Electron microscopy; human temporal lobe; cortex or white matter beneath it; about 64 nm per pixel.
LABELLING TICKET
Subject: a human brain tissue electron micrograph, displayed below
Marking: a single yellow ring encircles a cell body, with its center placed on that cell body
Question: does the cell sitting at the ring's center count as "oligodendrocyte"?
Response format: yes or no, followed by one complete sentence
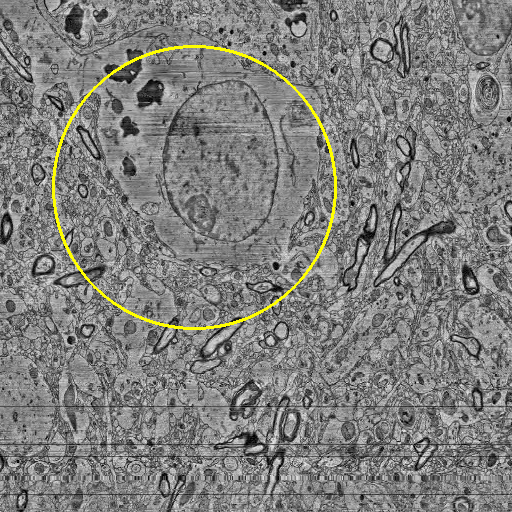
No, the cell at the center of the ring in the picture belongs to another kind.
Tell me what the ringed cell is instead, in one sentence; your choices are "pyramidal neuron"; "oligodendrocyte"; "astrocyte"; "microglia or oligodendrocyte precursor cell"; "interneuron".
Instead, the ring surrounds an astrocyte in this picture.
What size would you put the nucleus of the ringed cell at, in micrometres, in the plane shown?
Roughly 11 by 7 micrometres in this plane, for the nucleus of the ringed cell.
